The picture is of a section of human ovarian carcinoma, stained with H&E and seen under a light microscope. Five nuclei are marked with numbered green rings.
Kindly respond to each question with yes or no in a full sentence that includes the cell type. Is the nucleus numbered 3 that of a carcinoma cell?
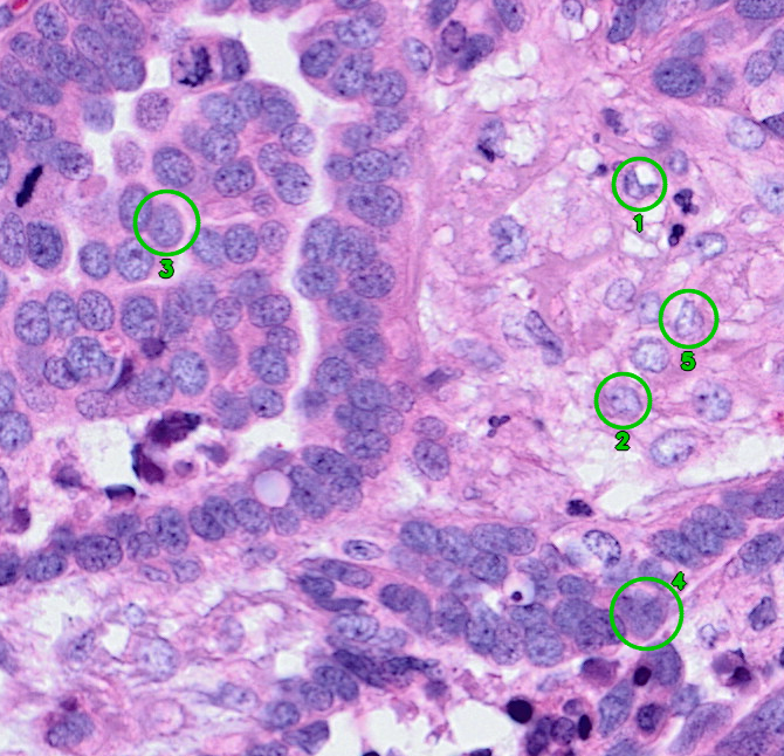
Yes, in this section the cell numbered 3 is a carcinoma cell.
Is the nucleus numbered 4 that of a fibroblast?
No, it is a carcinoma cell that is marked with number 4, not a fibroblast.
